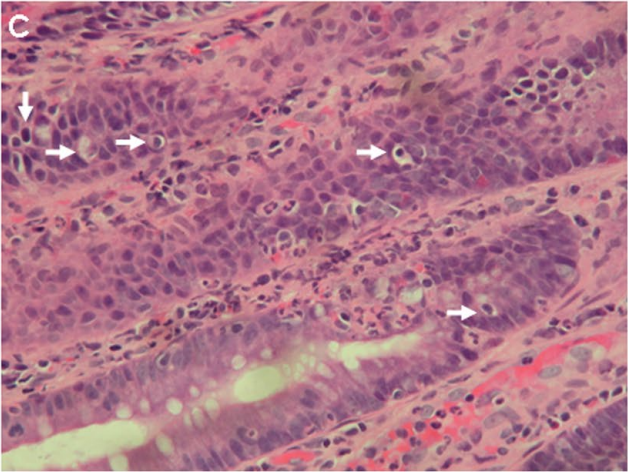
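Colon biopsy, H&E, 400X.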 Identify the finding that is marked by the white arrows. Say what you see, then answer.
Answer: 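Epithelial apoptosis. The arrows point to small round dense bodies within the crypt epithelium. Each body is surrounded by a clear halo. These bodies lie among the columnar epithelial cells of the crypts.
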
